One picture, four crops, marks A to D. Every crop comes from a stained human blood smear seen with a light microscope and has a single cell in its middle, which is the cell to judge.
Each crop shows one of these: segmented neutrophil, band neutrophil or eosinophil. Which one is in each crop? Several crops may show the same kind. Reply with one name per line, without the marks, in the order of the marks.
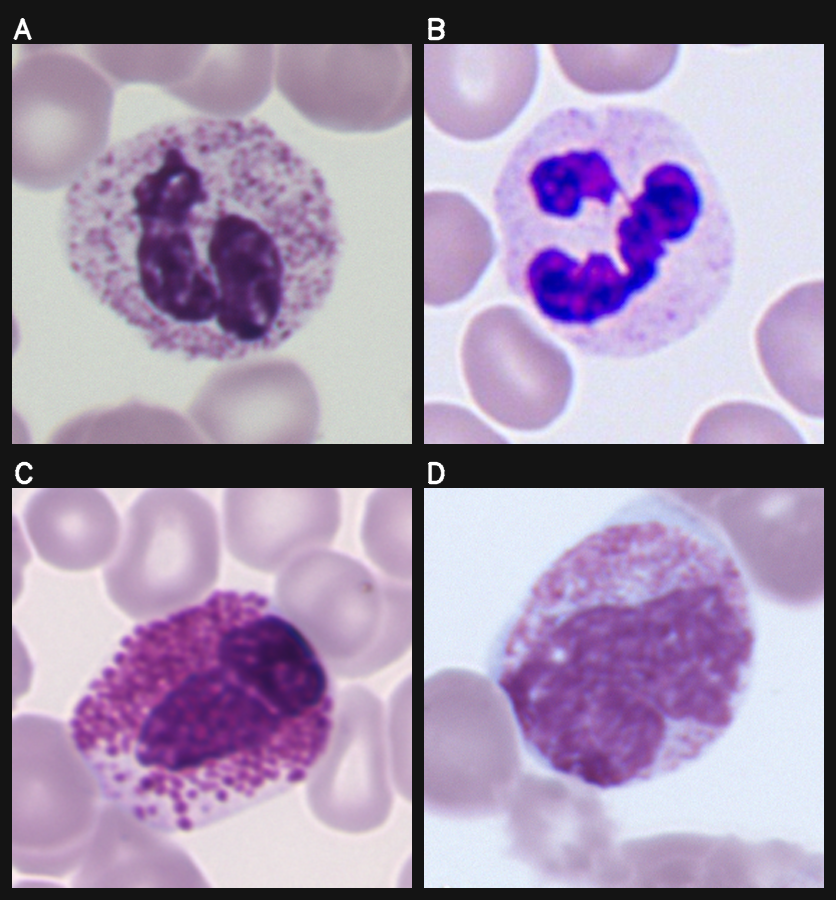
segmented neutrophil
segmented neutrophil
eosinophil
band neutrophil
